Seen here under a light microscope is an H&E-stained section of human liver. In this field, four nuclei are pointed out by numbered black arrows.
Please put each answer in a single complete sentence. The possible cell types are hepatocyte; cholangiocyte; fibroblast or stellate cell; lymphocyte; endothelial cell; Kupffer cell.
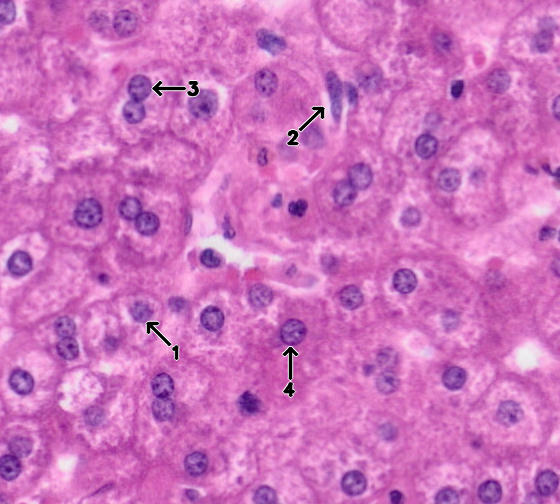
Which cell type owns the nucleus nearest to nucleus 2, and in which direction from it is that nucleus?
A fibroblast or stellate cell lies closest, to the right of nucleus 2.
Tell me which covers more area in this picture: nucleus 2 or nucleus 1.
Of the two, number 2 is bigger and takes up about 1.5 times the area of number 1.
